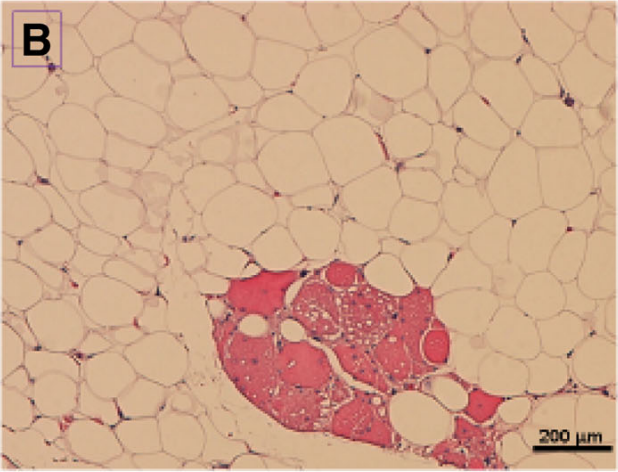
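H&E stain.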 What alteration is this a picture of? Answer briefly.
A: abundant intrasarcoplasmic vacuoles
